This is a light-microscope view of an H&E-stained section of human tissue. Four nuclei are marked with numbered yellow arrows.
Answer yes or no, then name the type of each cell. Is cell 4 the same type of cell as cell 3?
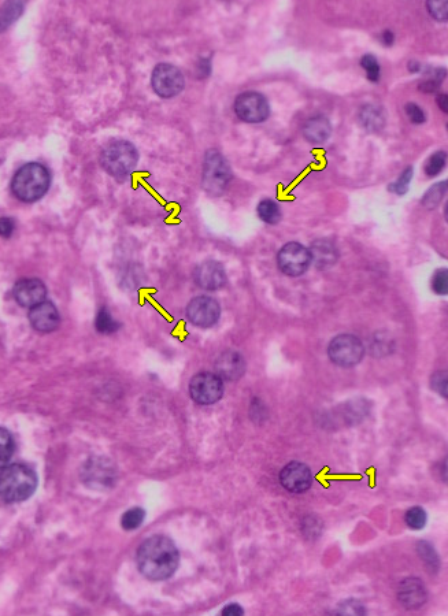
No, cell 4 is a hepatocyte; cell 3, by contrast, is a lymphocyte.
